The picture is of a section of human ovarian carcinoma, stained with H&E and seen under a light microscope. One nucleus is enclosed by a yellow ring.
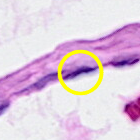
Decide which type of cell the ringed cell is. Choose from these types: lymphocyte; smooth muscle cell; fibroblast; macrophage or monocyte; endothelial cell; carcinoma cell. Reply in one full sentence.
In the stained section, the ringed cell is an endothelial cell.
